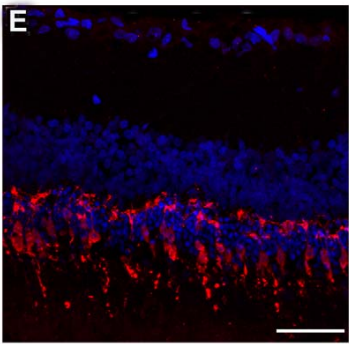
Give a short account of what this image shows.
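A cross-section of retina with blue-stained nuclei in distinct layers. Scattered nuclei form a sparse innermost row. A thick band of densely packed nuclei forms the inner nuclear layer. Below it lies a thinner band of nuclei, the outer nuclear layer of photoreceptors. Along the outer edge of that band sit bright red cell bodies. From them, red processes run outward as slender, roughly parallel streaks into the zone beyond the nuclei.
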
